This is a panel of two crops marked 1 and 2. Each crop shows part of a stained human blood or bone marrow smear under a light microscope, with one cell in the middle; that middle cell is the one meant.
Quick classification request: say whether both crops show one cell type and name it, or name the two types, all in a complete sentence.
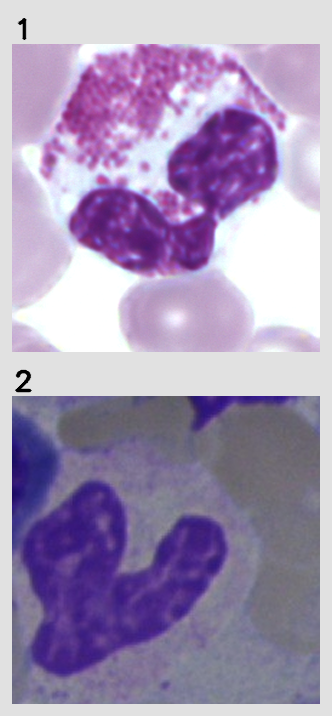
No, crop 1 has an eosinophil at its center, and crop 2 has a band neutrophil.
